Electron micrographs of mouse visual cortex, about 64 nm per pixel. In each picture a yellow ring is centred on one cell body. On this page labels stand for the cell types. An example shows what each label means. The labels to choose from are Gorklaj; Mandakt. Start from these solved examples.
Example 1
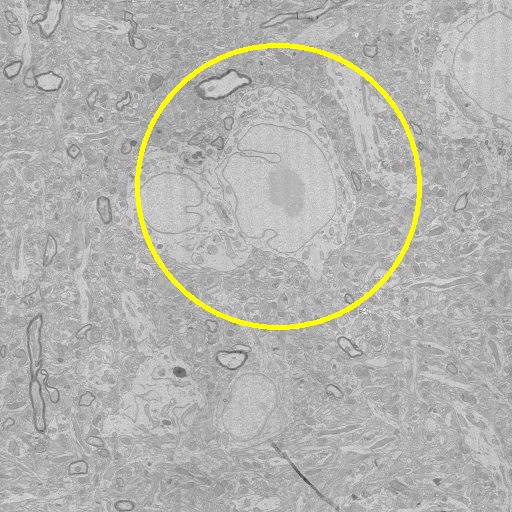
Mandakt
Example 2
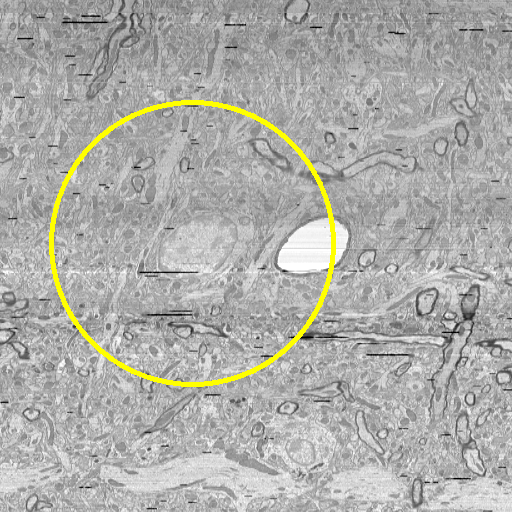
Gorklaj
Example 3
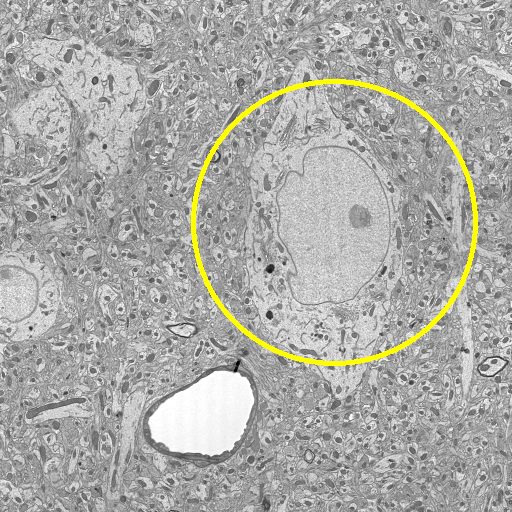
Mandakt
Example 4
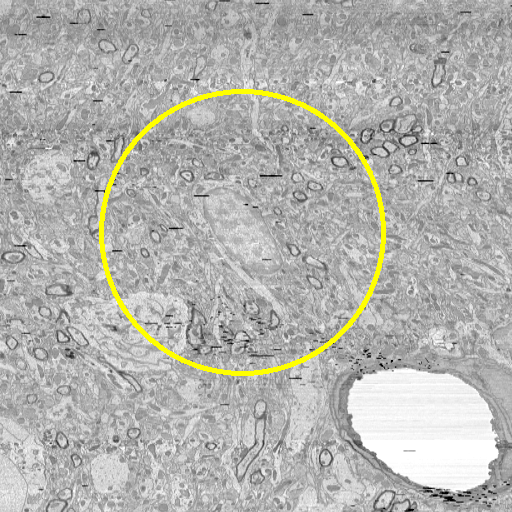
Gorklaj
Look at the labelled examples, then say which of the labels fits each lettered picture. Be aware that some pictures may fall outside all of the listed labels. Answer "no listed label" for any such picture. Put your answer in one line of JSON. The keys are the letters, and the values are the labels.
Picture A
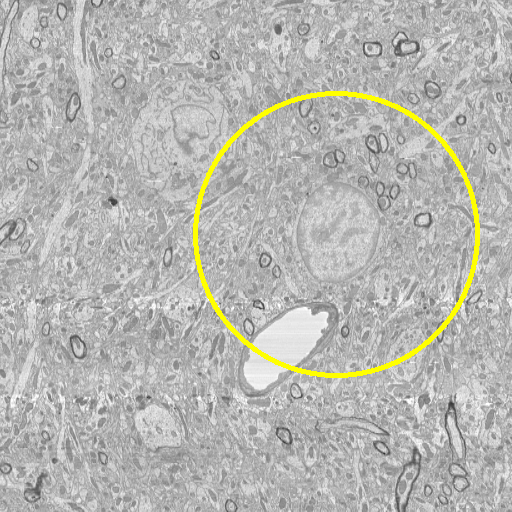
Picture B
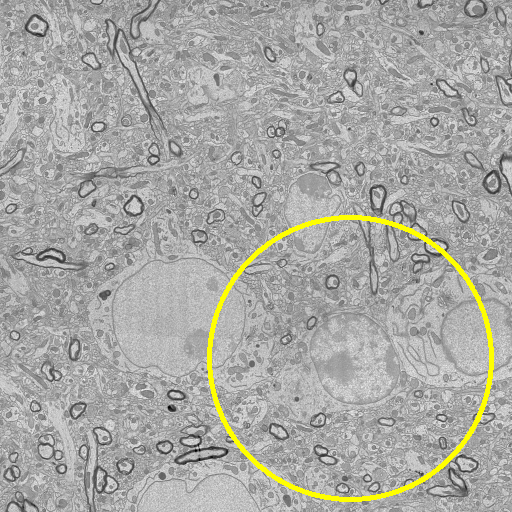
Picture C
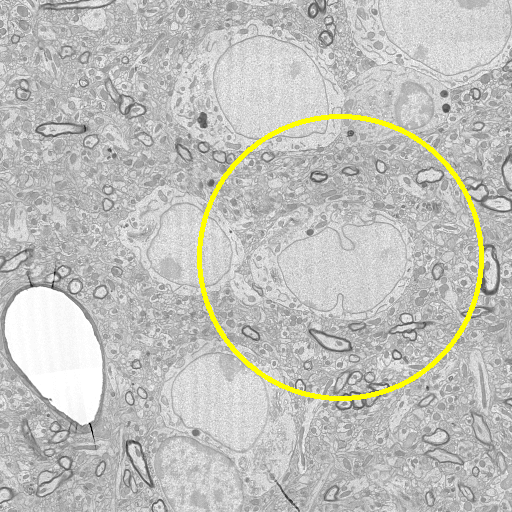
{"A": "Gorklaj", "B": "Gorklaj", "C": "Mandakt"}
